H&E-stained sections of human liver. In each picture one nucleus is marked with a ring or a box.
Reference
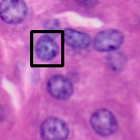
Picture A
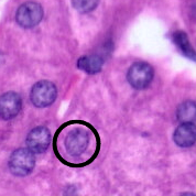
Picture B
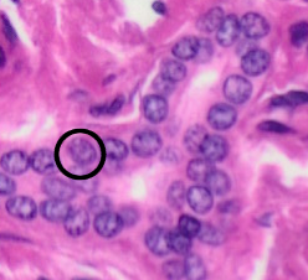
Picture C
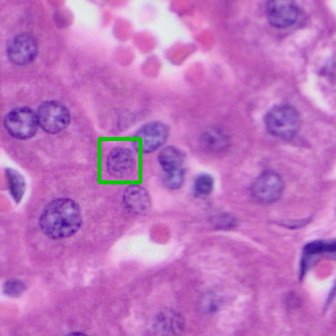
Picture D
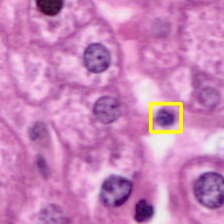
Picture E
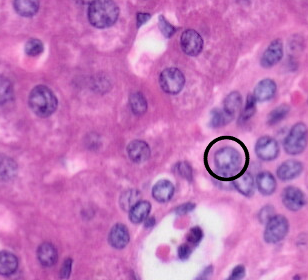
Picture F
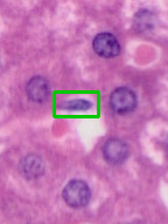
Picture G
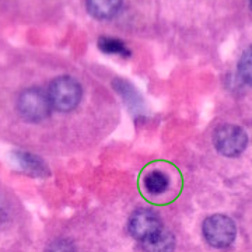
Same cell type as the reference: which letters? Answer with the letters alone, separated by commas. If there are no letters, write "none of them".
B, C, E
